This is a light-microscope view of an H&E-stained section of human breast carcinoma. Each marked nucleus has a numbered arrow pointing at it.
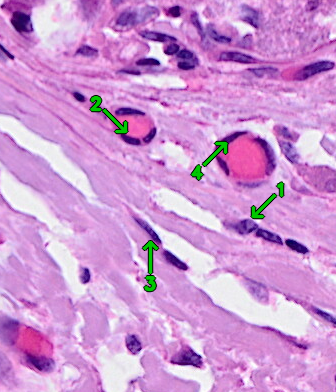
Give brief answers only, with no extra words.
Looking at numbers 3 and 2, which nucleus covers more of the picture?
3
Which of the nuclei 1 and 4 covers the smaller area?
4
